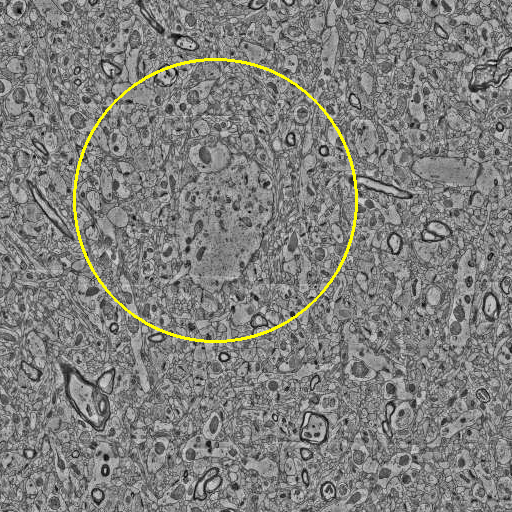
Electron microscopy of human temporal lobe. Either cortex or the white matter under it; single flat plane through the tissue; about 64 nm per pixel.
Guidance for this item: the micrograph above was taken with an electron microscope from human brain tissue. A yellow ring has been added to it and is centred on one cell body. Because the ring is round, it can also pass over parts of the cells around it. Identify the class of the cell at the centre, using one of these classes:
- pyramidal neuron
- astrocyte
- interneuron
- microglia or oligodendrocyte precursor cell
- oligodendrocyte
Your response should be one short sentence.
The ring surrounds the body of an interneuron.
